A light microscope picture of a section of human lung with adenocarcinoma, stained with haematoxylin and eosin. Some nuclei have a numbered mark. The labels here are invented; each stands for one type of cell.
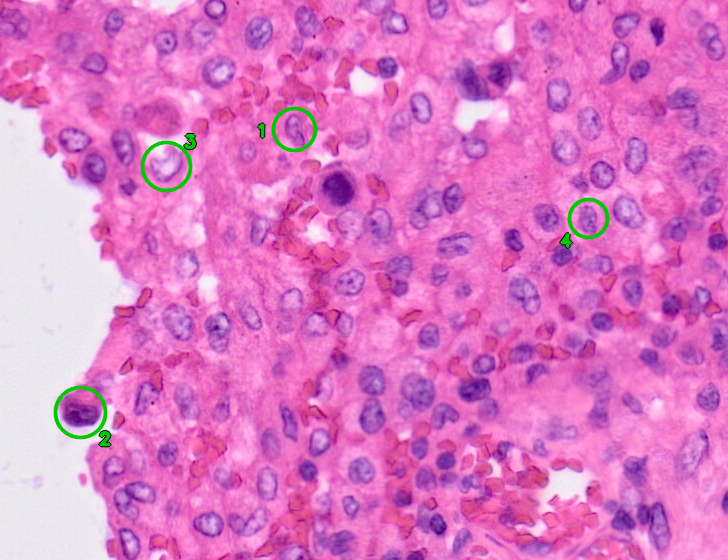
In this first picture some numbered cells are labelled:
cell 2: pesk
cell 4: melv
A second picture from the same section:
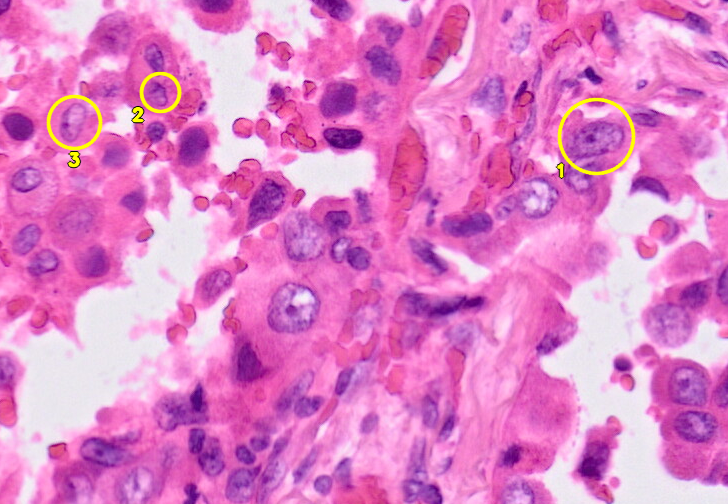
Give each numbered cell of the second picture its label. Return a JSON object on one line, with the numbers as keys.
{"1": "pesk", "2": "melv", "3": "melv"}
